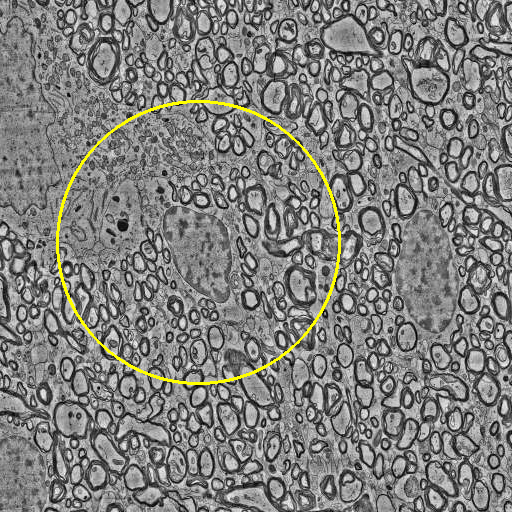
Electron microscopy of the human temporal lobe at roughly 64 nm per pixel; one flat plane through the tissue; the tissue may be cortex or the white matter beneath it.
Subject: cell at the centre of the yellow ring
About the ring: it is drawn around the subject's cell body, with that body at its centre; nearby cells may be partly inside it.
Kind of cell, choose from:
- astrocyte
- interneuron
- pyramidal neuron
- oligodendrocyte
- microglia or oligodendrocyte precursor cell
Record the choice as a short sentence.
The subject cell is a microglial cell or oligodendrocyte precursor cell.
